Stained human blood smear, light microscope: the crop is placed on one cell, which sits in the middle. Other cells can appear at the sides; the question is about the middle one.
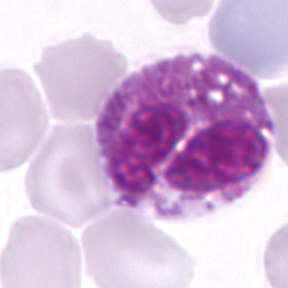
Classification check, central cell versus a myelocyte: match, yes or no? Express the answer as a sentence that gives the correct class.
No, in the middle of the crop there is an eosinophil rather than a myelocyte.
